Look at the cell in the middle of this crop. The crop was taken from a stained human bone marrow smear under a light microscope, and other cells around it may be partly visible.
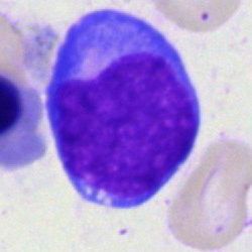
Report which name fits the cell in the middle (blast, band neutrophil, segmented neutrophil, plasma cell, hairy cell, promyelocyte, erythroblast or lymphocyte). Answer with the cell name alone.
blast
